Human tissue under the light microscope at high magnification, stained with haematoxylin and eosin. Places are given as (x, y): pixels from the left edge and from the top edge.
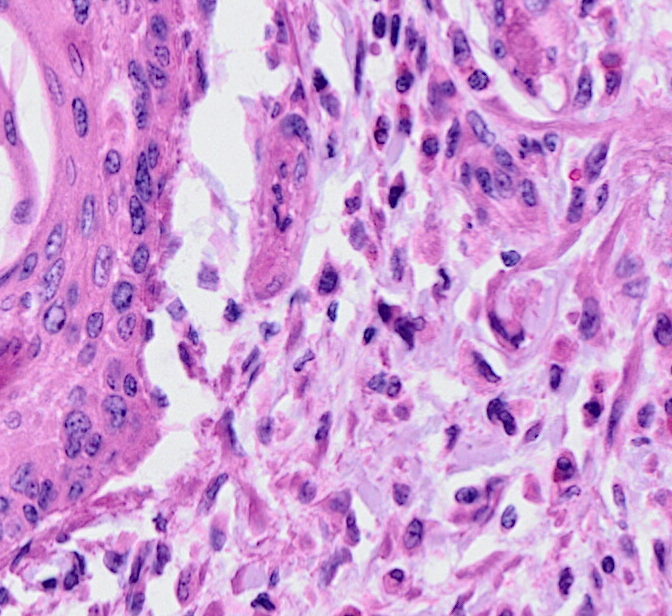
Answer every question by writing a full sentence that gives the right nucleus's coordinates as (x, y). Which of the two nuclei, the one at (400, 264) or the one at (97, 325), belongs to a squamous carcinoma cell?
The nucleus at (97, 325) is contained in a squamous carcinoma cell.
